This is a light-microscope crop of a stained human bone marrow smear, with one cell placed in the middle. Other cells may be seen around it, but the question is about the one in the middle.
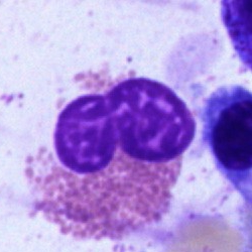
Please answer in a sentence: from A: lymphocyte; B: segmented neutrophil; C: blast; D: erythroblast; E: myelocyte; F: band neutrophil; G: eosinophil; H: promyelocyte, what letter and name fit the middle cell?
The central cell in this crop is an eosinophil, corresponding to option G, the correct option.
